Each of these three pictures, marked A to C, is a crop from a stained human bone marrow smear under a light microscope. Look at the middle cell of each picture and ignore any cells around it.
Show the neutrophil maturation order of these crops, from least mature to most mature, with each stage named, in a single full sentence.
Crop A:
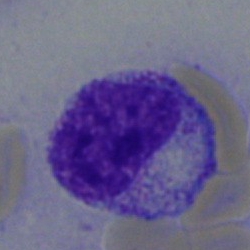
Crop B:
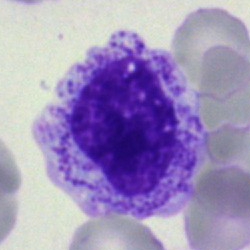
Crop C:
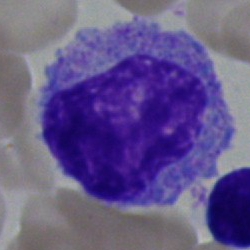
Maturity increases along the sequence crop C (a promyelocyte), crop B (a myelocyte) and crop A (a metamyelocyte).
